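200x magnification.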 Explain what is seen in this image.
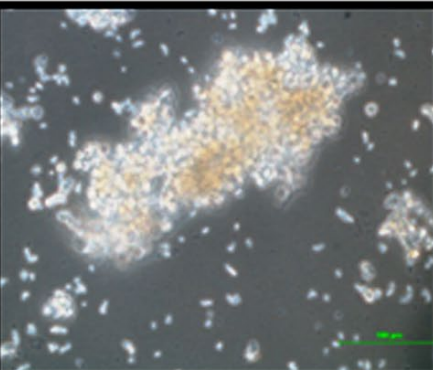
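The cells at the border are bright and refractile and can be seen one by one, while the centre is dense and brownish where many cell layers overlap. Around the spheroid lie many small, isolated cells and fragments that are not part of the aggregate.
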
